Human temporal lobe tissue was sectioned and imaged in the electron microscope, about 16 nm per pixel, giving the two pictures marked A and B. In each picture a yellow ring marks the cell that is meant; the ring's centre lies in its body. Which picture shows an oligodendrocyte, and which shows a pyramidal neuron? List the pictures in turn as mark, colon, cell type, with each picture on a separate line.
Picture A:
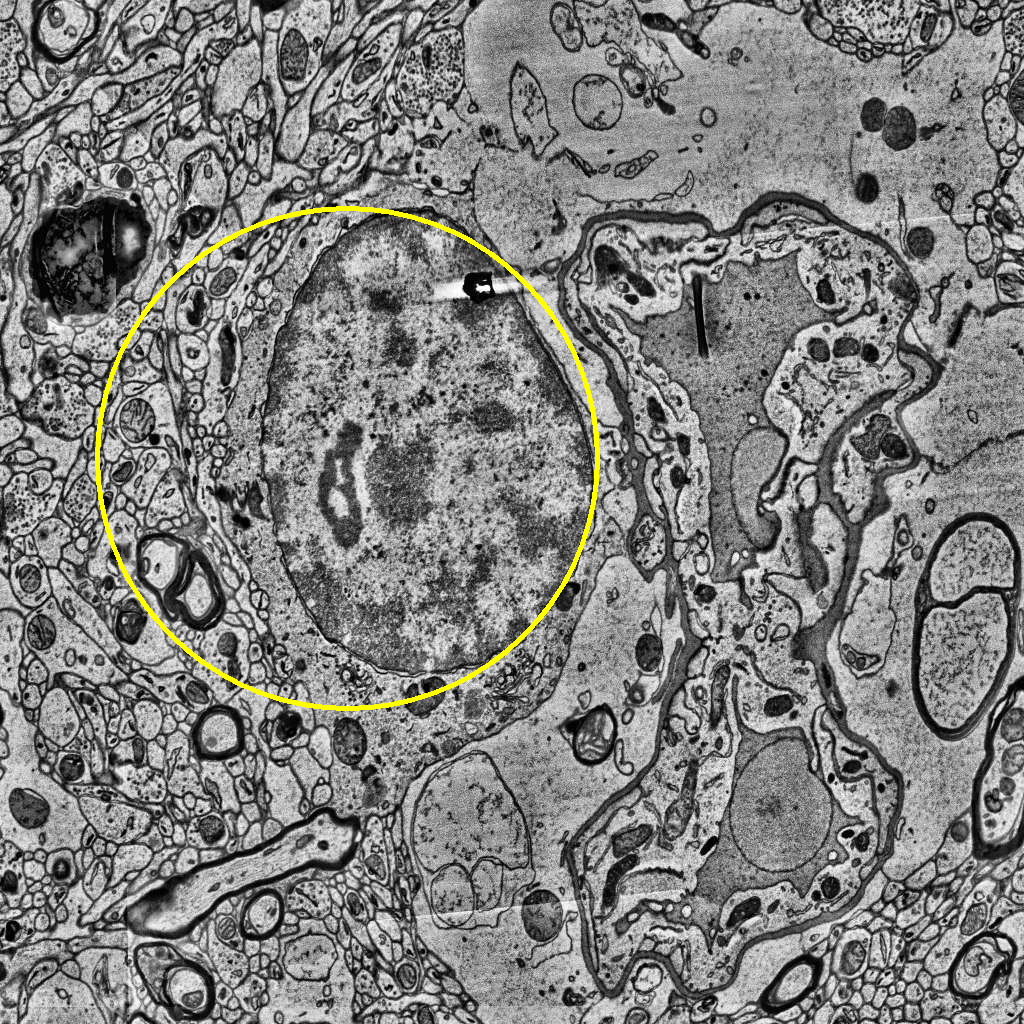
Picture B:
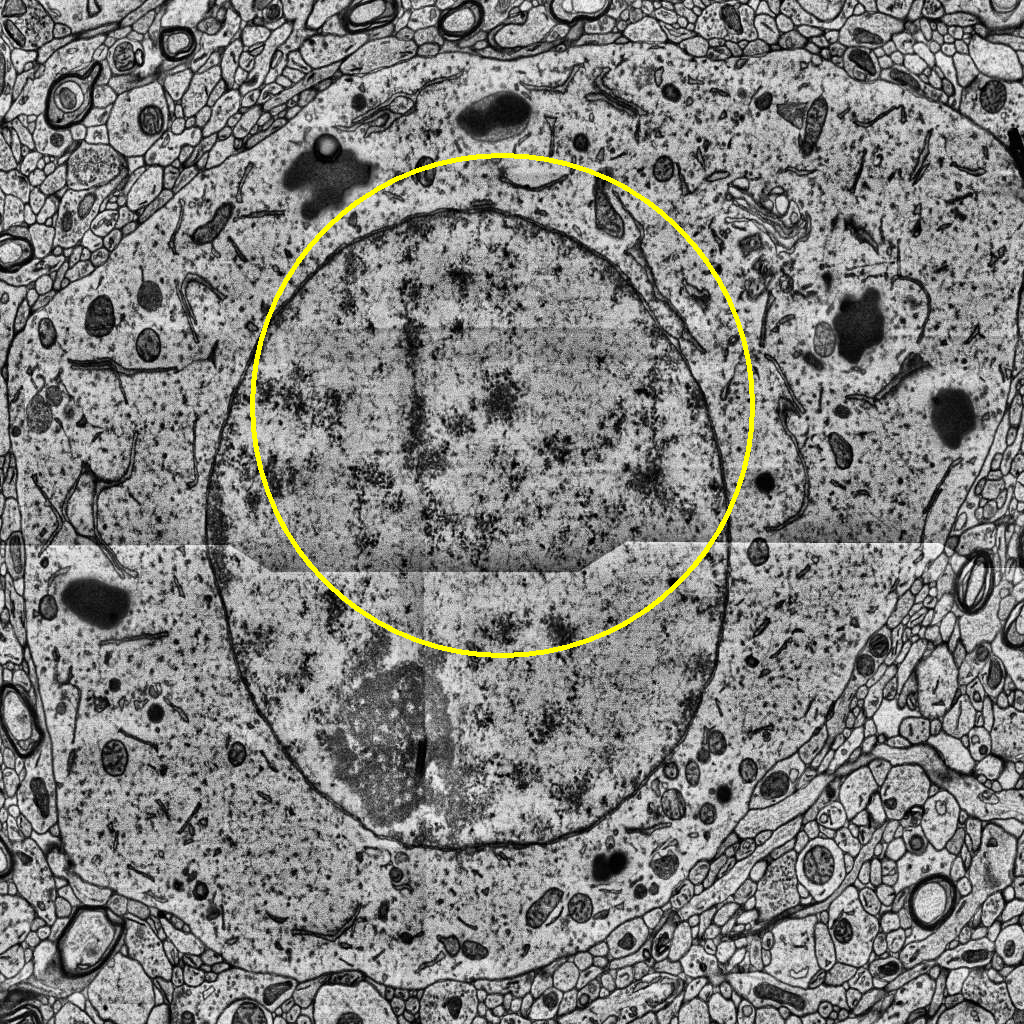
A: oligodendrocyte
B: pyramidal neuron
